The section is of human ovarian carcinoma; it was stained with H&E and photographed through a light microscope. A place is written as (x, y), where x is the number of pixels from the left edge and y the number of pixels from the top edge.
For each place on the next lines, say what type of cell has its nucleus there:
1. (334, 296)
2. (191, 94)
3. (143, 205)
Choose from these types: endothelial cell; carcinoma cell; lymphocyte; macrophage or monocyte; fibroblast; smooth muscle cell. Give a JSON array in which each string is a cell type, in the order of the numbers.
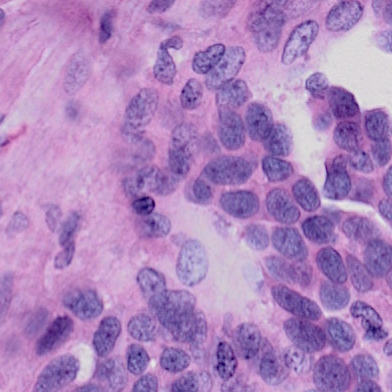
["carcinoma cell", "macrophage or monocyte", "lymphocyte"]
